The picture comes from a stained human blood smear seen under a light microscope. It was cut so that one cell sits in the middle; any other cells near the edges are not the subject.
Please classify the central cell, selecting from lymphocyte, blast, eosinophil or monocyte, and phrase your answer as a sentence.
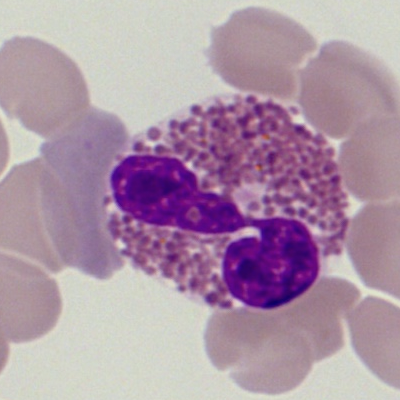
The cell of interest, located centrally, is an eosinophil.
